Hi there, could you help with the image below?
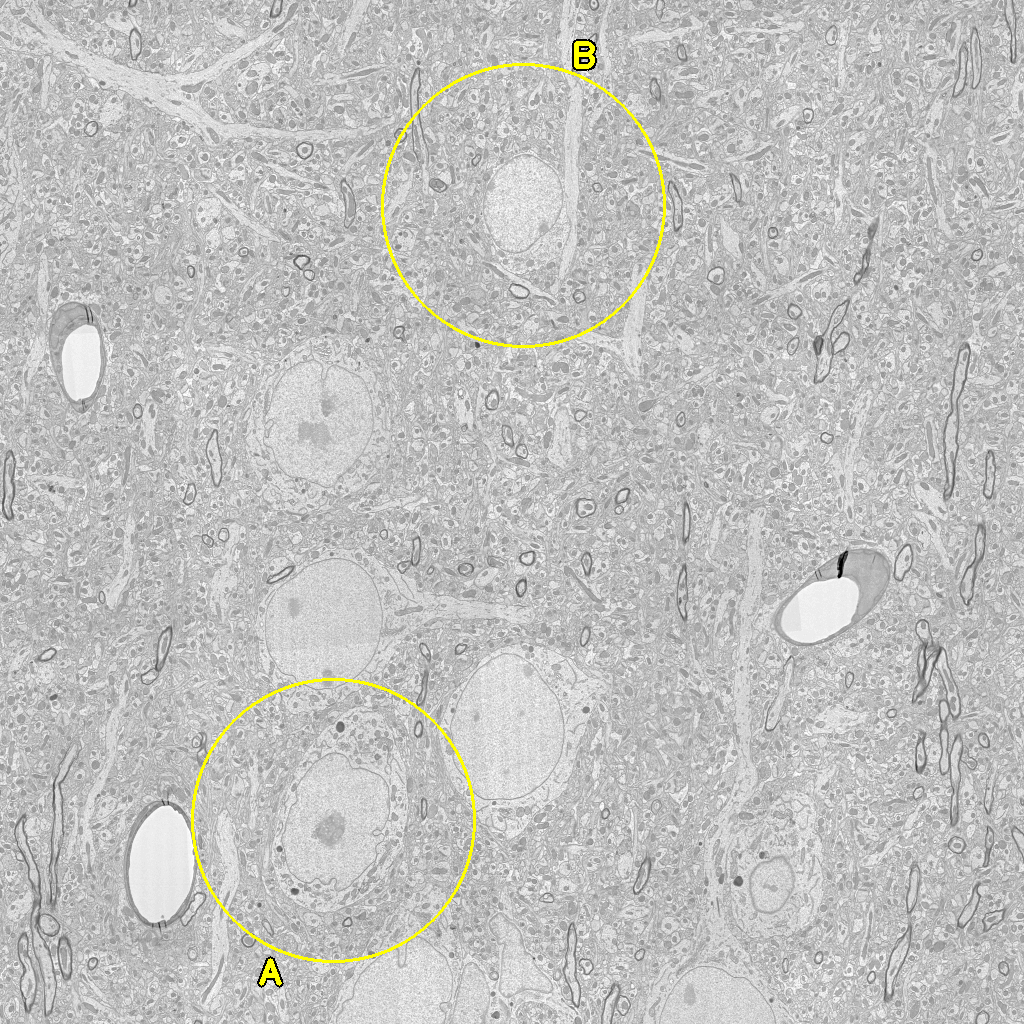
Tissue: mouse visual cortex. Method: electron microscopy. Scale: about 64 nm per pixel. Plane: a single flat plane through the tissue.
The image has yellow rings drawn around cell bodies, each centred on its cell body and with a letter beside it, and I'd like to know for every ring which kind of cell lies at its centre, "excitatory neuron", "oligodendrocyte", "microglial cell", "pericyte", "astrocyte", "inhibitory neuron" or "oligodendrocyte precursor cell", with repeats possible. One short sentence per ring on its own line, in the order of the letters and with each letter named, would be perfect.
Ring A is placed around an inhibitory neuron.
Ring B is placed around an astrocyte.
